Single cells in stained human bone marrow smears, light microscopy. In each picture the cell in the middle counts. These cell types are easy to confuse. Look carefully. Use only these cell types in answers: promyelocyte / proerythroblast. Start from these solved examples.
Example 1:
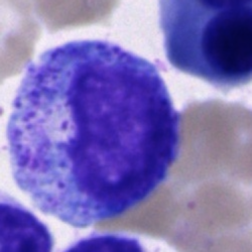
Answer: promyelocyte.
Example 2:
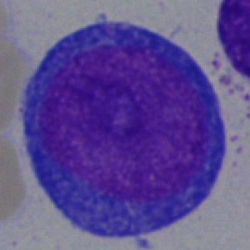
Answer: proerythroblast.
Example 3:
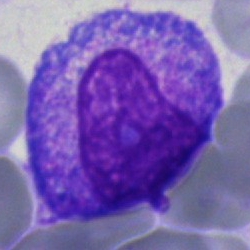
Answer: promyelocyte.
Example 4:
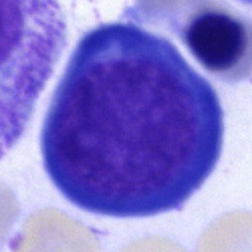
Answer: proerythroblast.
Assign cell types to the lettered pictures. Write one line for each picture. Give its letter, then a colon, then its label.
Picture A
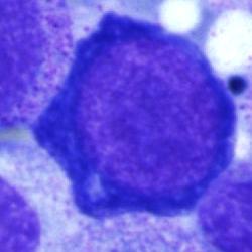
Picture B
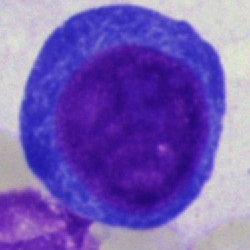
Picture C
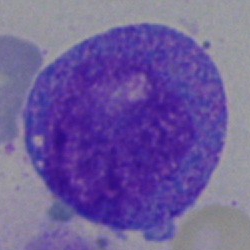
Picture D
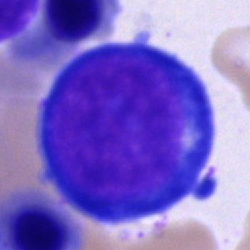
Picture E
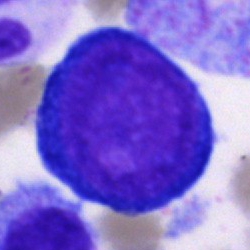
A: proerythroblast.
B: proerythroblast.
C: promyelocyte.
D: proerythroblast.
E: proerythroblast.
